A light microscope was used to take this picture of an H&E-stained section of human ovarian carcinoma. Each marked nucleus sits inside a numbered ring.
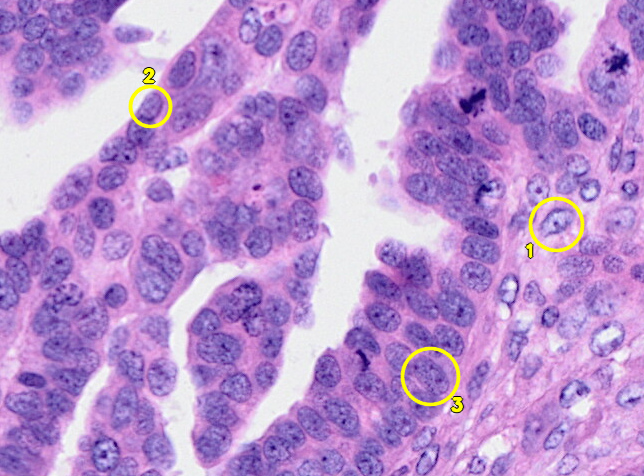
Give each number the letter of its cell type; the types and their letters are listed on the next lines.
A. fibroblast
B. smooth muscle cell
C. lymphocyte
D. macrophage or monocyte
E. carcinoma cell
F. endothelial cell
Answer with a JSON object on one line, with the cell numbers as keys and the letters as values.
{"1": "A", "2": "E", "3": "E"}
